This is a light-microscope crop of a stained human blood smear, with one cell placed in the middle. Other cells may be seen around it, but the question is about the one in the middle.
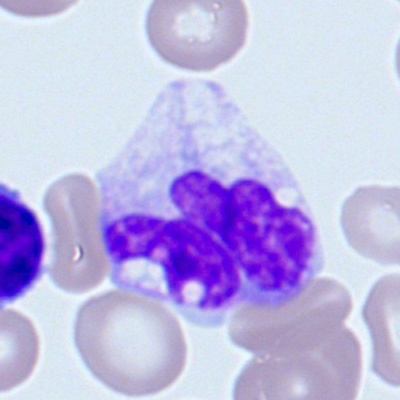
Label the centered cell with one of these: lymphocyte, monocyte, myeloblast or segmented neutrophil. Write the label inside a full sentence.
What sits at the centre of this crop is a monocyte.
